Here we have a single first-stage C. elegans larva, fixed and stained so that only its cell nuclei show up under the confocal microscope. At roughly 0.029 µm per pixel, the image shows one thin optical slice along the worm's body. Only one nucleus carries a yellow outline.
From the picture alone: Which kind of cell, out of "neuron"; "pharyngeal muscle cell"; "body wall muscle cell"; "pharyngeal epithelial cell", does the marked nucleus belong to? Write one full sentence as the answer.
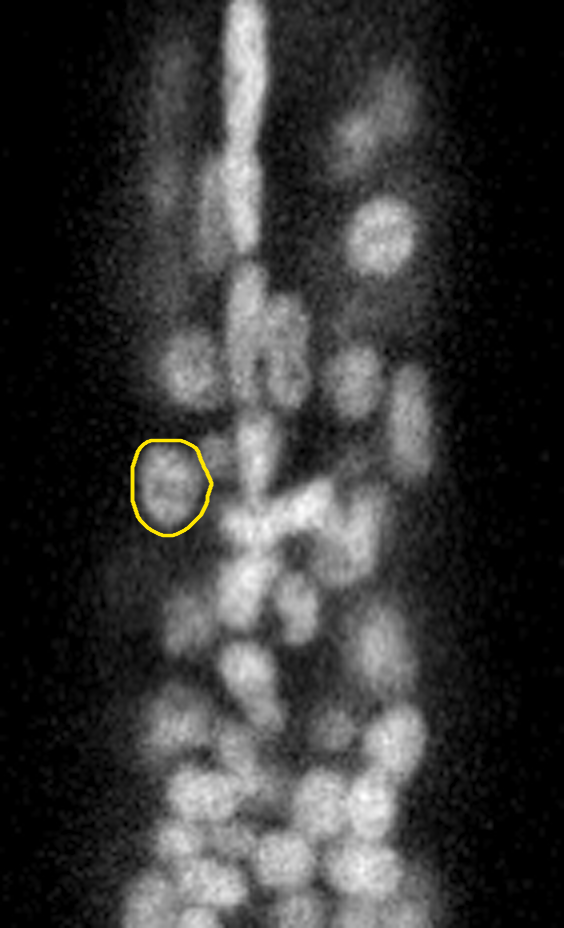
It is the nucleus of a body wall muscle cell.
